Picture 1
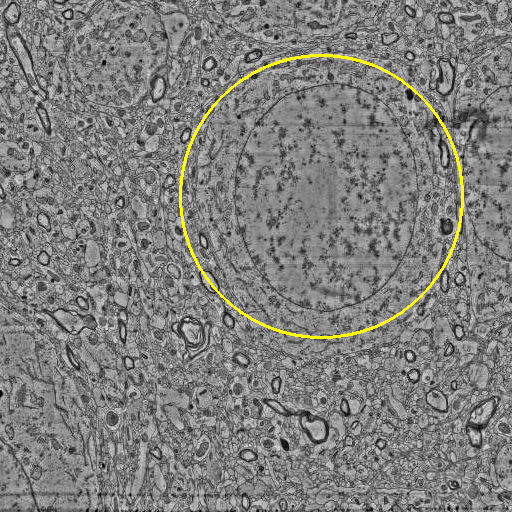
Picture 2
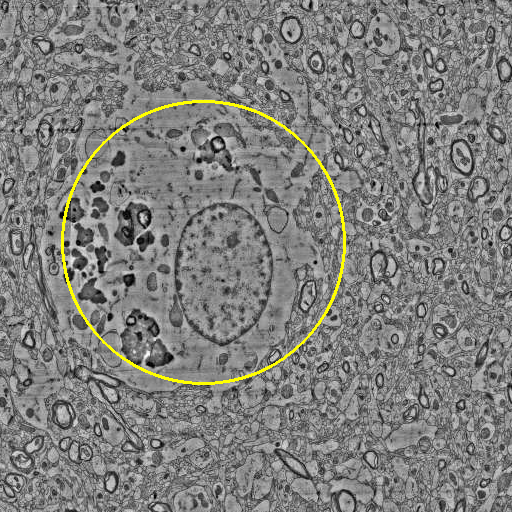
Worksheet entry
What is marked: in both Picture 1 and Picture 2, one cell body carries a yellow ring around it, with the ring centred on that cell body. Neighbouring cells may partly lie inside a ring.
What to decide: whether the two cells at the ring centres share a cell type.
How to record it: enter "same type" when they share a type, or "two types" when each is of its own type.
two types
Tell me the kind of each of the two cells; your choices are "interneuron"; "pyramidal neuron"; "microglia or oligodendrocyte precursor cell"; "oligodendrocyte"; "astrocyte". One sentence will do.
The ringed cell is a pyramidal neuron in the first picture and an astrocyte in the second picture.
